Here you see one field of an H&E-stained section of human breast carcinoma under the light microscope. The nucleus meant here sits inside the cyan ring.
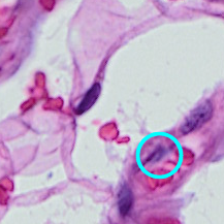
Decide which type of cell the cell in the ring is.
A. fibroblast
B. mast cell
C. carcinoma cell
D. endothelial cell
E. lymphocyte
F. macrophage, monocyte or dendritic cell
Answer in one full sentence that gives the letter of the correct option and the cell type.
The right option is D, the cell in the ring being an endothelial cell.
